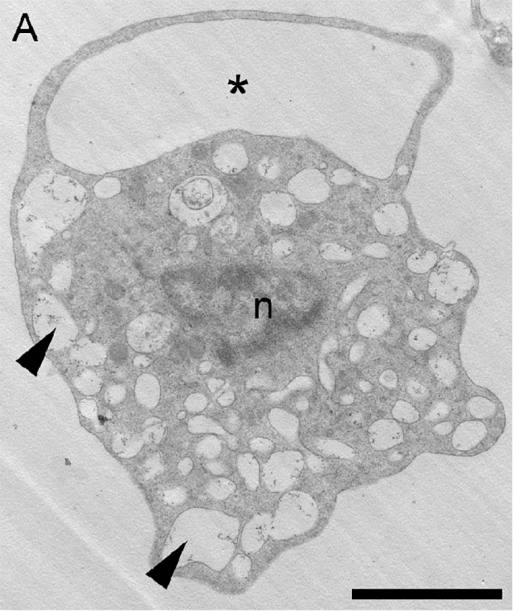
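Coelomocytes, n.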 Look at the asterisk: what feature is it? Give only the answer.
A: A cell process forming a loop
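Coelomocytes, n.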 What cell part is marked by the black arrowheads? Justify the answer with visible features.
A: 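Electron-lucent vesicles. The arrowheads point to pale, empty-looking membrane-bound spaces. Many similar pale round spaces fill the cytoplasm.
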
